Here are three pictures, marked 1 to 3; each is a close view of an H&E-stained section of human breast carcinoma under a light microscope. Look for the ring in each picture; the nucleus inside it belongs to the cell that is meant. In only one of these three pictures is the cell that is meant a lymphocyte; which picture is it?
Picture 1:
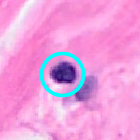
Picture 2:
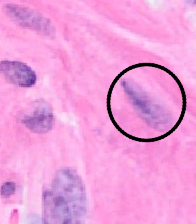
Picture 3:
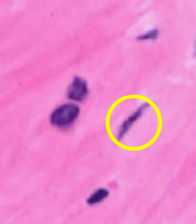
1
